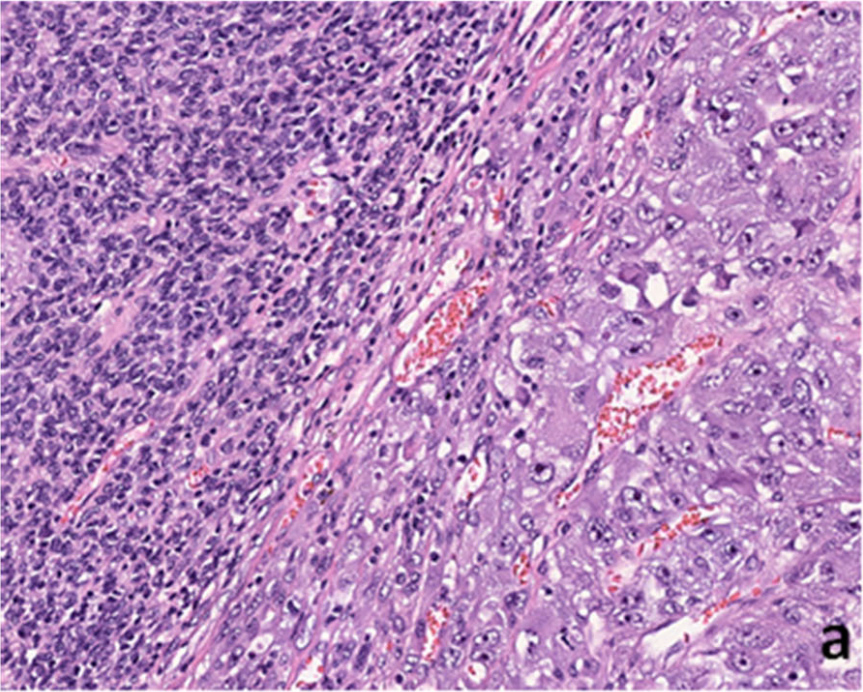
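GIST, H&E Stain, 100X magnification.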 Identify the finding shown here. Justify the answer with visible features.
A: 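Abrupt Transition. One side is densely packed small cells with dark nuclei and scant cytoplasm.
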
